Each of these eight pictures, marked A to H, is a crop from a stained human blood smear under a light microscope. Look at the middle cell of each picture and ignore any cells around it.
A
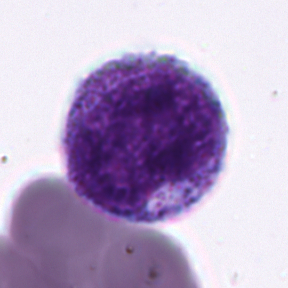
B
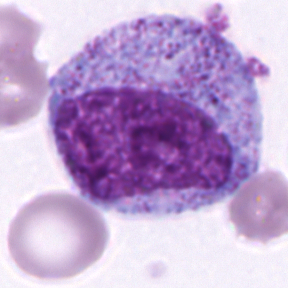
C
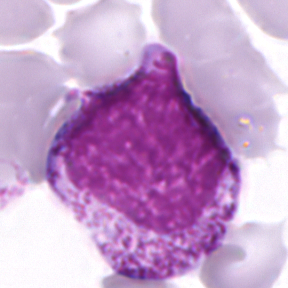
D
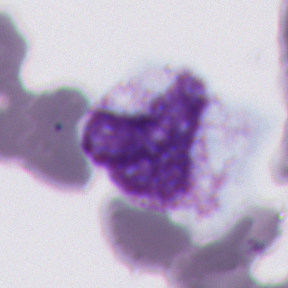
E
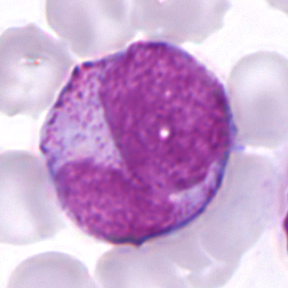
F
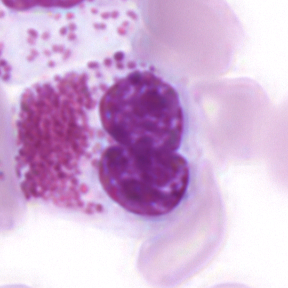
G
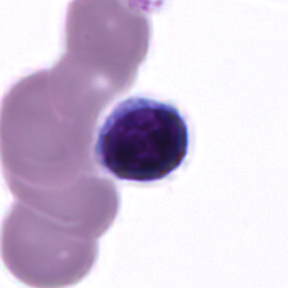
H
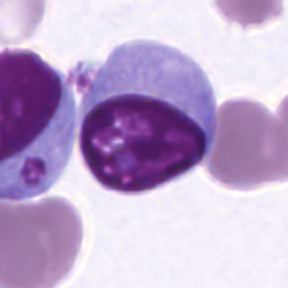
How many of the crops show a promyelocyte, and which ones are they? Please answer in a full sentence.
Crops showing promyelocytes total four, and they are A, B, C and E.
